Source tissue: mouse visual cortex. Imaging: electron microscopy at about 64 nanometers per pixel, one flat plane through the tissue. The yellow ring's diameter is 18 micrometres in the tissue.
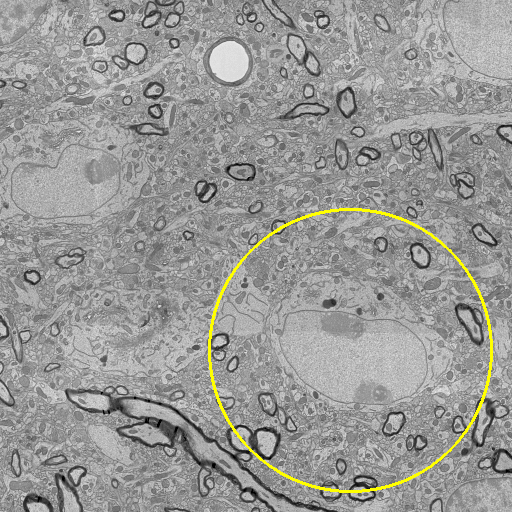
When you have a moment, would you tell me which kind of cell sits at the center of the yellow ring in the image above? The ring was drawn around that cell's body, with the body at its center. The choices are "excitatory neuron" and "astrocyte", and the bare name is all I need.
excitatory neuron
